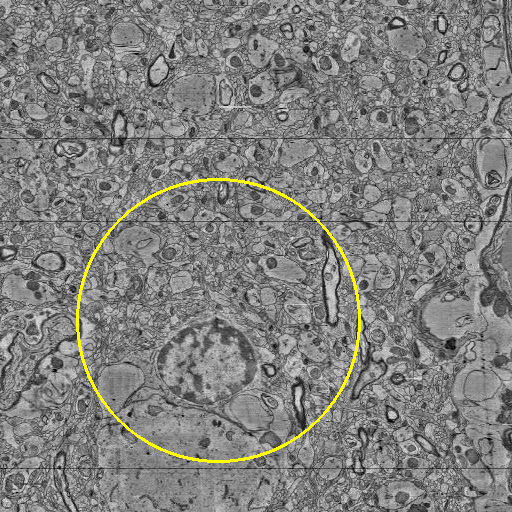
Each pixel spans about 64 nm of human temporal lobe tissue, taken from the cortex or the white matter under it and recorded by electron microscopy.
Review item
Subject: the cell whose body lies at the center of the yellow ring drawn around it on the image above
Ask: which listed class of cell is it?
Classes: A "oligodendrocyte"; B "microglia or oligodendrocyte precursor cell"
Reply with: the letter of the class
B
